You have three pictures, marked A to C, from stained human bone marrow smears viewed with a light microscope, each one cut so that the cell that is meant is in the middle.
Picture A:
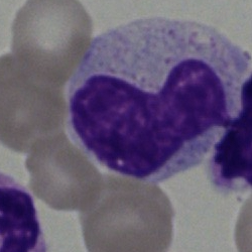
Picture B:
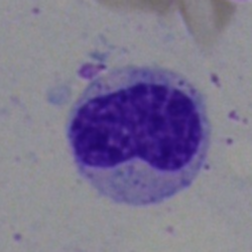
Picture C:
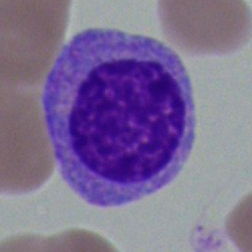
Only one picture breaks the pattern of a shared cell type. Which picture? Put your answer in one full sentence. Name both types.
All pictures except C show metamyelocytes; picture C shows a myelocyte.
